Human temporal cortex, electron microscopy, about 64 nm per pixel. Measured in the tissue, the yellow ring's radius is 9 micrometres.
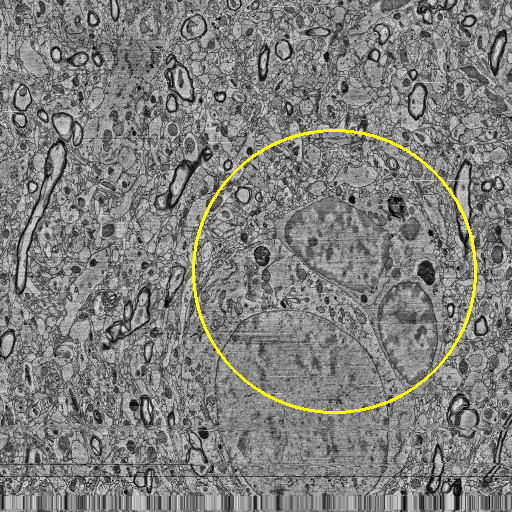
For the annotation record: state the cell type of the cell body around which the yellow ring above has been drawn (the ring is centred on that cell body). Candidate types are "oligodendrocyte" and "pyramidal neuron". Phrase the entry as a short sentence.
The ringed cell is an oligodendrocyte.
